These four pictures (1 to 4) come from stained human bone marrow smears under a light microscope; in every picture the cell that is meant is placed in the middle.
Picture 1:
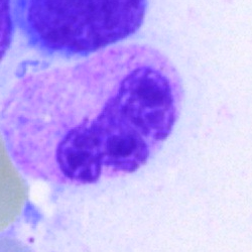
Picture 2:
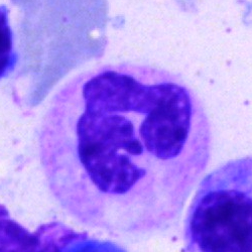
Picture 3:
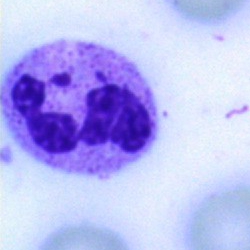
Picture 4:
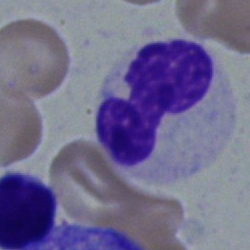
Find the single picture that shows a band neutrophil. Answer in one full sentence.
It is picture 4 that shows the band neutrophil.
